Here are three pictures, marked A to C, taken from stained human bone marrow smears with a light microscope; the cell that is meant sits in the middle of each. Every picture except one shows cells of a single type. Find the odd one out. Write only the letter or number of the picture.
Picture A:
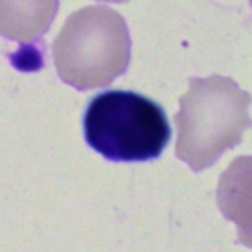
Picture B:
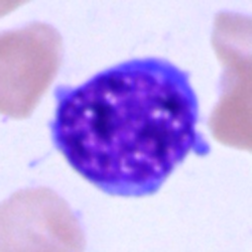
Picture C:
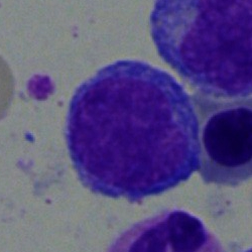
A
